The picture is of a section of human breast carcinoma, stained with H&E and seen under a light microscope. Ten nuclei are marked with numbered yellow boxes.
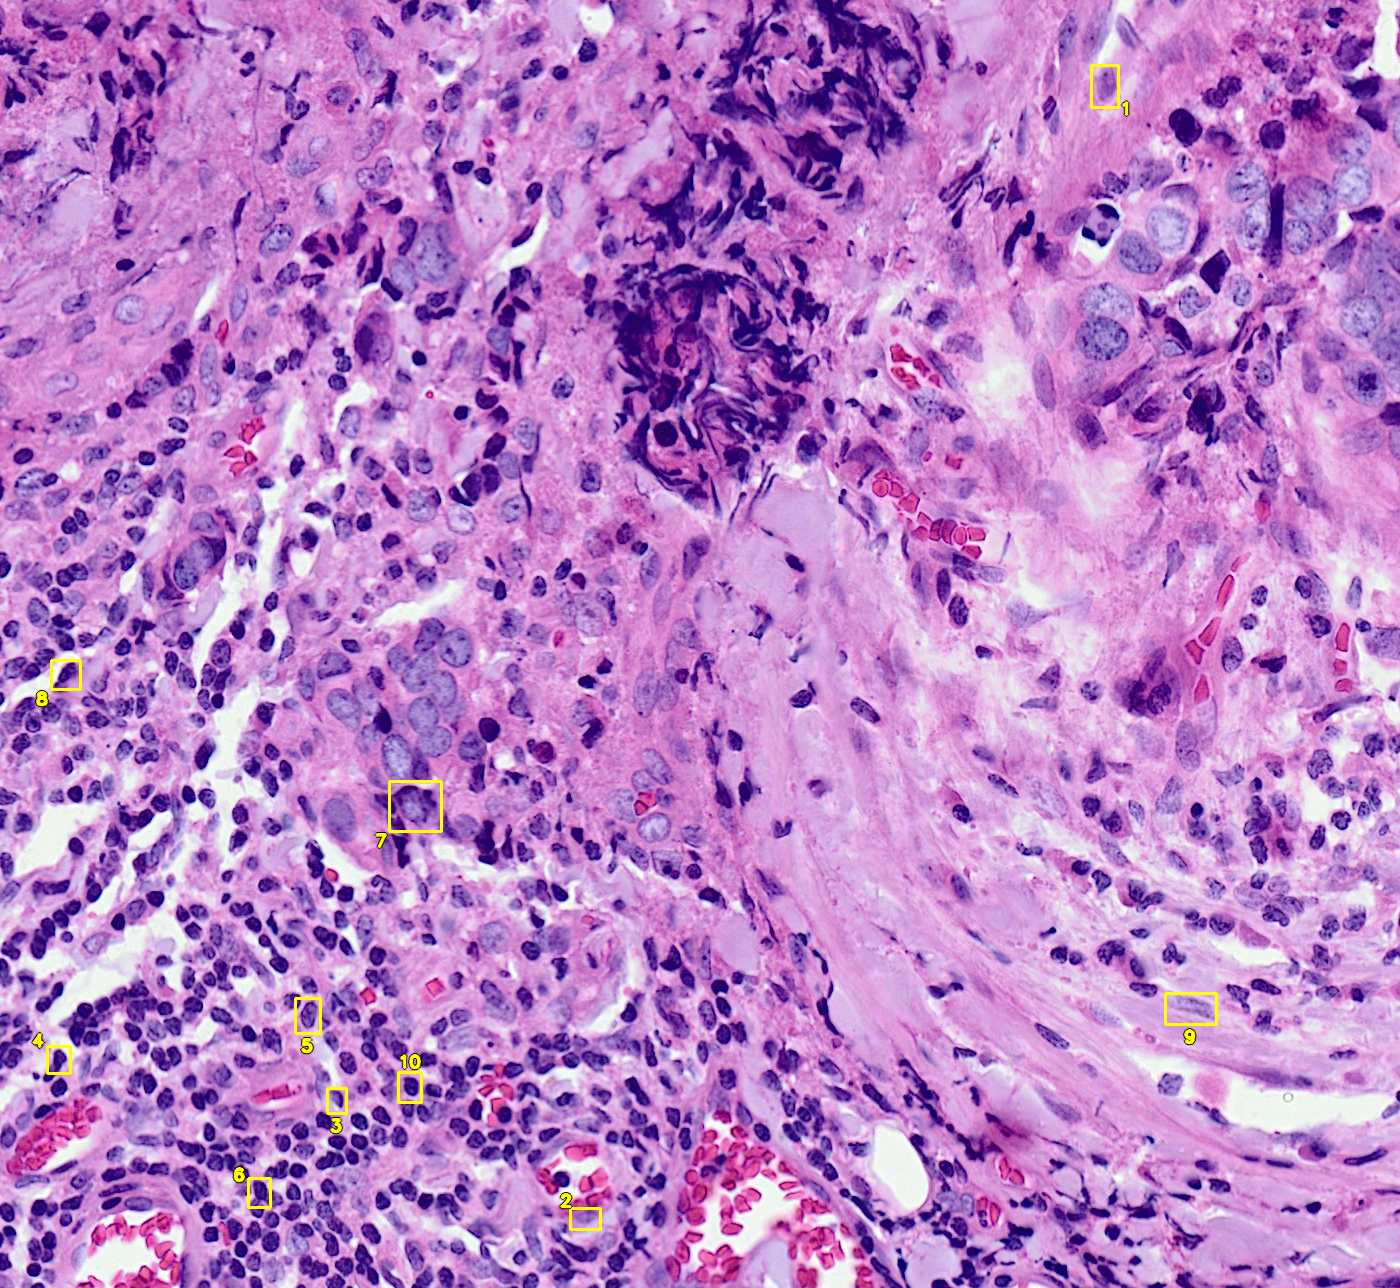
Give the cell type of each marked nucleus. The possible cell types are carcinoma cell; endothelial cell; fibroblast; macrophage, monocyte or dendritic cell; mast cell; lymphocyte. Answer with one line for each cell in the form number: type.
1: fibroblast
2: endothelial cell
3: lymphocyte
4: lymphocyte
5: lymphocyte
6: lymphocyte
7: carcinoma cell
8: lymphocyte
9: fibroblast
10: lymphocyte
